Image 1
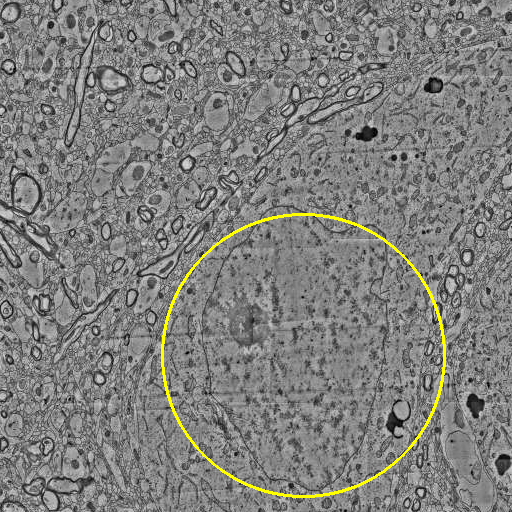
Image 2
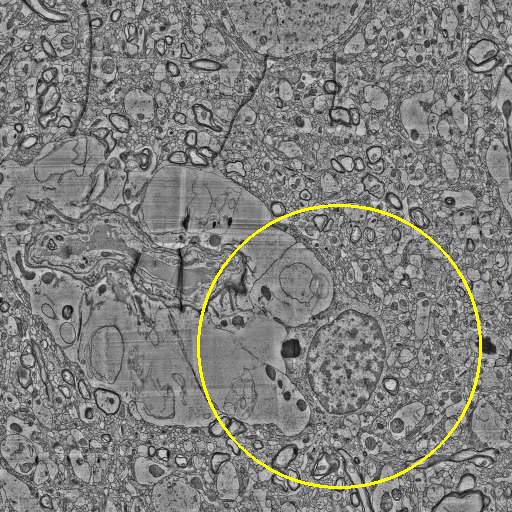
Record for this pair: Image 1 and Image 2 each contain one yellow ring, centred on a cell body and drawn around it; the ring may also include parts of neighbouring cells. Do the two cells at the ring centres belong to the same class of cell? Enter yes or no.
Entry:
no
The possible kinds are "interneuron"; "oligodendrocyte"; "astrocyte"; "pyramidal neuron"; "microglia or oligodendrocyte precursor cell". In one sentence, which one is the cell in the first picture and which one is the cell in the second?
The cell ringed in the second picture is an oligodendrocyte, whereas the one ringed in the first is a pyramidal neuron.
